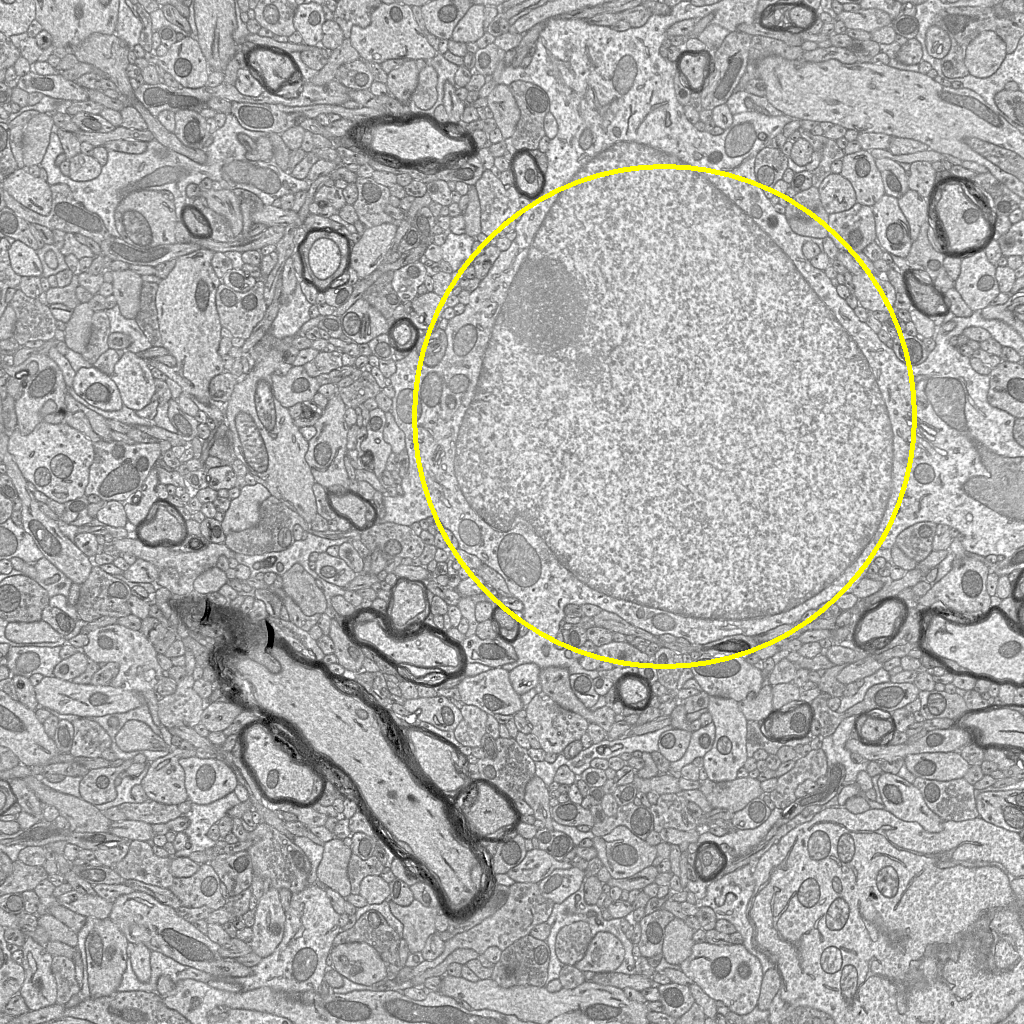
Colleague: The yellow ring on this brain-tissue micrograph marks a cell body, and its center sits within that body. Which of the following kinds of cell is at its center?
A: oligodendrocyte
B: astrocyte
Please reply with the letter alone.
B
